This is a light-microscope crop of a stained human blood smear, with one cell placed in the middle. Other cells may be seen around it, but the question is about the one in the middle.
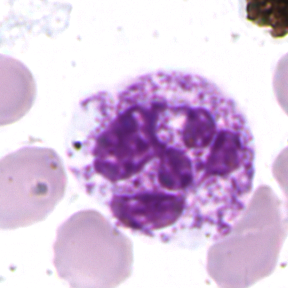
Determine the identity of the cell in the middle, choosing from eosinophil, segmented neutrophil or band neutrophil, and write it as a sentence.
The centrally located cell in the crop is a segmented neutrophil.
